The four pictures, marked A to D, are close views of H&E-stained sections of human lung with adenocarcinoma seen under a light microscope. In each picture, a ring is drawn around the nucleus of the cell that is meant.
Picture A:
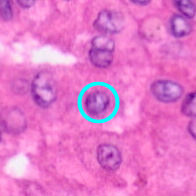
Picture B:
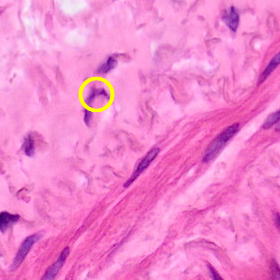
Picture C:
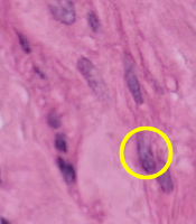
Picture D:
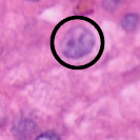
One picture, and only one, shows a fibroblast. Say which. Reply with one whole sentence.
The fibroblast is the one in picture B.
